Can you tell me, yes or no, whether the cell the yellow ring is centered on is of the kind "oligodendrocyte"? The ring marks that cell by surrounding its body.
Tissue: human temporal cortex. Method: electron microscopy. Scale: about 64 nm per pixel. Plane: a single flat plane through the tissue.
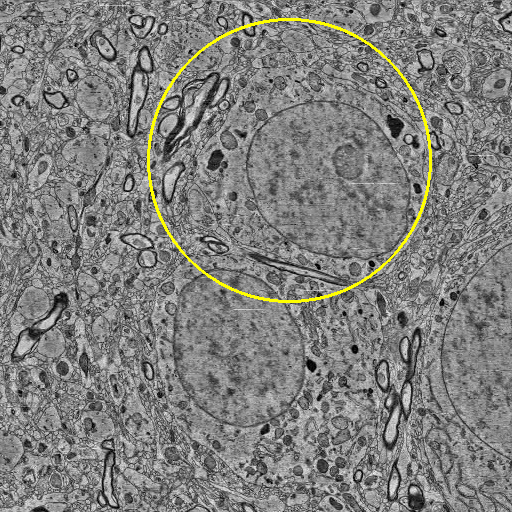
no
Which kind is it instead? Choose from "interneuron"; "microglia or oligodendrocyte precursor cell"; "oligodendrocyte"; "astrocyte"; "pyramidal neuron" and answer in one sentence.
Instead, what sits at the centre of the ring is a pyramidal neuron.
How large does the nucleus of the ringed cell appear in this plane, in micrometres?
In this plane the nucleus spans approximately 12 by 10 micrometers.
